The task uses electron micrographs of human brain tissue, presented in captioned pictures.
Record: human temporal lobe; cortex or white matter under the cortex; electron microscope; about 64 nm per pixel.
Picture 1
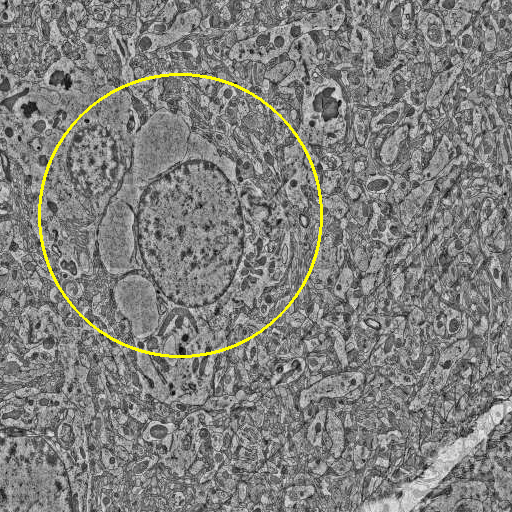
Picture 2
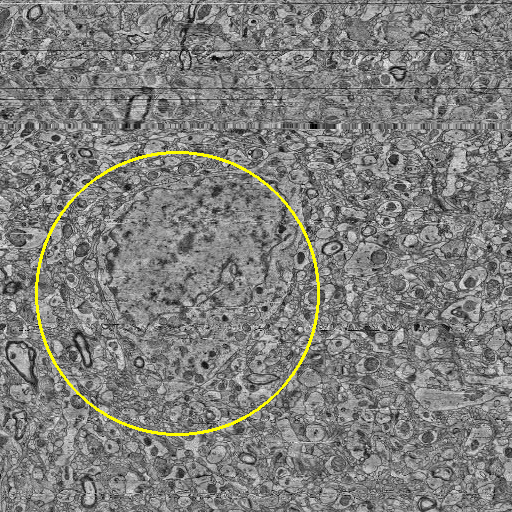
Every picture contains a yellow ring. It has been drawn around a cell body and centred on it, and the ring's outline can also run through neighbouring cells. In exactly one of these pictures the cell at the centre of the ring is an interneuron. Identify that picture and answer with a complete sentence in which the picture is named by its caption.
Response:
The ring in Picture 2 is centred on that kind of cell.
